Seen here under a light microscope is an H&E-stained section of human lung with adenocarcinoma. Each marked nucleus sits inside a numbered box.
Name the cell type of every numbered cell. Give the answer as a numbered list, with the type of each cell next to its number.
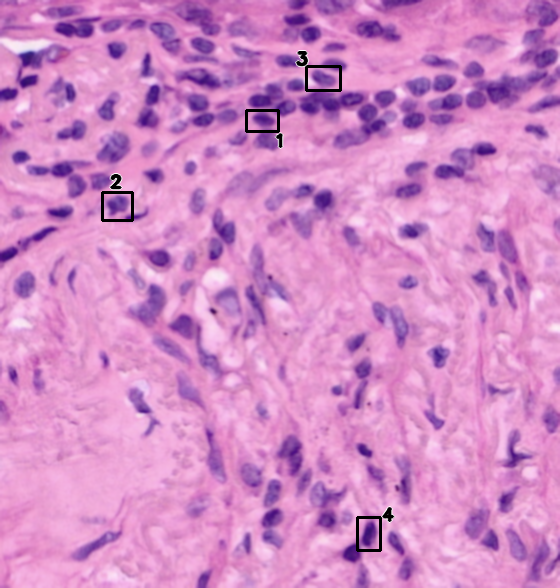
1. lymphocyte
2. lymphocyte
3. lymphocyte
4. plasma cell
